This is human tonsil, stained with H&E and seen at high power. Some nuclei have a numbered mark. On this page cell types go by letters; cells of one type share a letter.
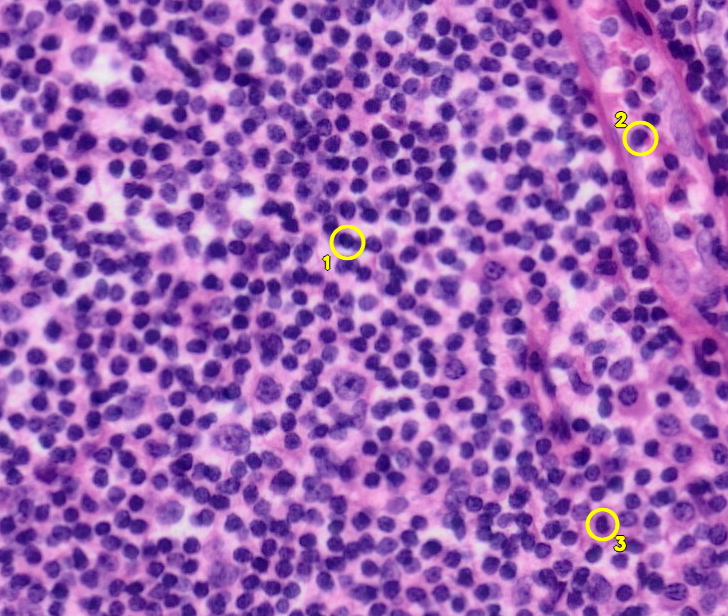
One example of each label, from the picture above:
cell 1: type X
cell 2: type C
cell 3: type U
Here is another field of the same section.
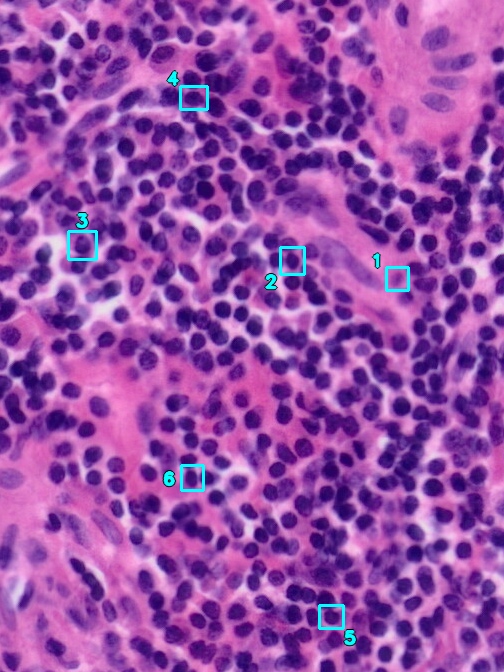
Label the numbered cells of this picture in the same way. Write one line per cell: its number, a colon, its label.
1: type C
2: type X
3: type U
4: type X
5: type X
6: type X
